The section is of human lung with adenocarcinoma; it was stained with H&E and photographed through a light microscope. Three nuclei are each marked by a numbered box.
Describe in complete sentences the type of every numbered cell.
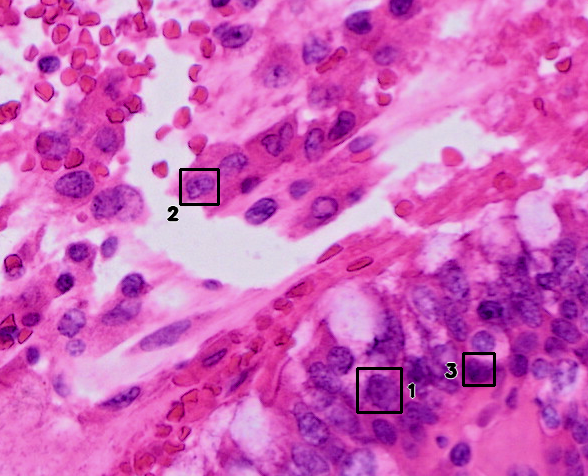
Cells 1 and 3 are ciliated epithelial cells. Cell 2 is a macrophage or monocyte.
